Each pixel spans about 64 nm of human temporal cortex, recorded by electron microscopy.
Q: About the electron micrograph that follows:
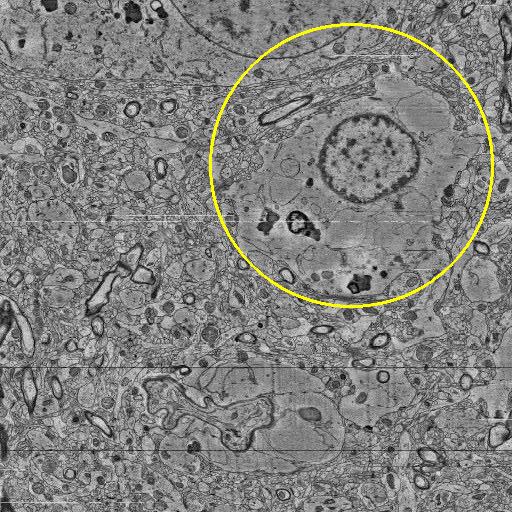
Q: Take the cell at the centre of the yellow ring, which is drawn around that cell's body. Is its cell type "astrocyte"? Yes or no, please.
Yes, its type is that one.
